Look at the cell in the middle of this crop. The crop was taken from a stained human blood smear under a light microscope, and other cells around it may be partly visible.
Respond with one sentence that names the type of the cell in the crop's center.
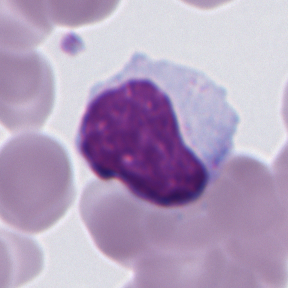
The cell in the middle of the field of view is a large granular lymphocyte.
